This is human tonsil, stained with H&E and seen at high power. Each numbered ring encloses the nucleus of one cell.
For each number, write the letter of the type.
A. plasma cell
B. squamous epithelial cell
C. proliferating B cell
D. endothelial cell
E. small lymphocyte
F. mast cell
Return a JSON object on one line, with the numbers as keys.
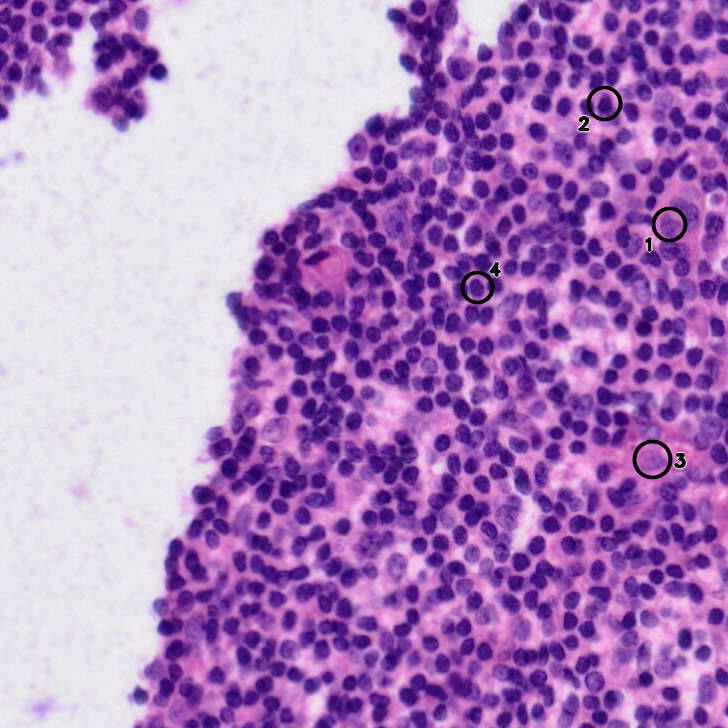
{"1": "D", "2": "E", "3": "D", "4": "E"}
